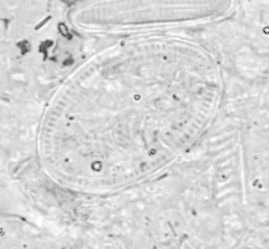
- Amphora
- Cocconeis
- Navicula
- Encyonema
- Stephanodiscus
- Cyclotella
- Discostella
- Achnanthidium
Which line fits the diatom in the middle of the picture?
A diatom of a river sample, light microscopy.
Cocconeis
